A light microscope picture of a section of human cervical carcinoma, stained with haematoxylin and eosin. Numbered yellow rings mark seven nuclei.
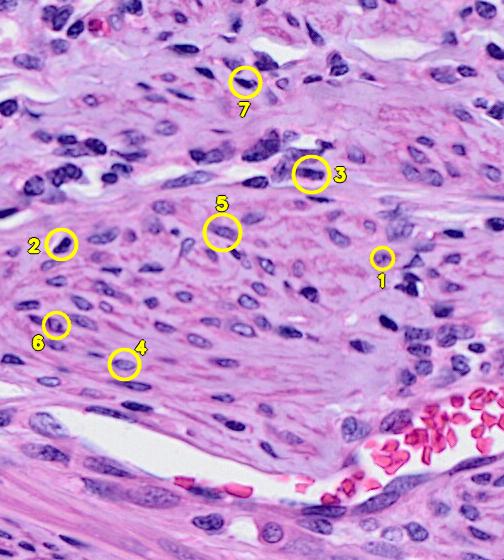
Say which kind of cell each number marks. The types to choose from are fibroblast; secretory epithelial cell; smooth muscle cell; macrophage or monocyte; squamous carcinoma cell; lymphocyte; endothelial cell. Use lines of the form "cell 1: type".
cell 1: smooth muscle cell
cell 2: lymphocyte
cell 3: lymphocyte
cell 4: smooth muscle cell
cell 5: smooth muscle cell
cell 6: smooth muscle cell
cell 7: lymphocyte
